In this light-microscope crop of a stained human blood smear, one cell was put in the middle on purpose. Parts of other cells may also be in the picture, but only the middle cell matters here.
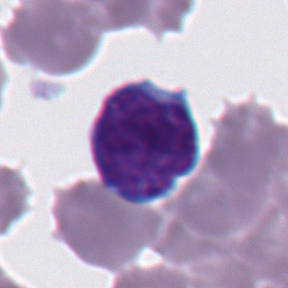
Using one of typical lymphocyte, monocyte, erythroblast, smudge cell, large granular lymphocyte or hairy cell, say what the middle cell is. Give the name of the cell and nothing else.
typical lymphocyte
